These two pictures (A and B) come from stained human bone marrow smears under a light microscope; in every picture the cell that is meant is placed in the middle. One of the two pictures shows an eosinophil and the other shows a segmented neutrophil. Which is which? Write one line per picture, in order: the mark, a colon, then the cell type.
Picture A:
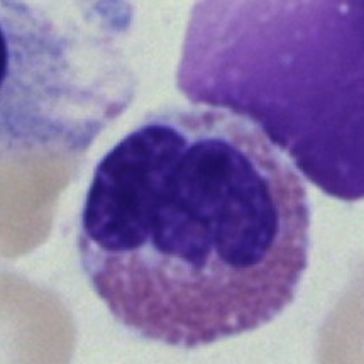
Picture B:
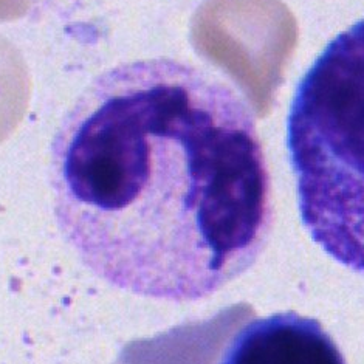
A: eosinophil
B: segmented neutrophil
